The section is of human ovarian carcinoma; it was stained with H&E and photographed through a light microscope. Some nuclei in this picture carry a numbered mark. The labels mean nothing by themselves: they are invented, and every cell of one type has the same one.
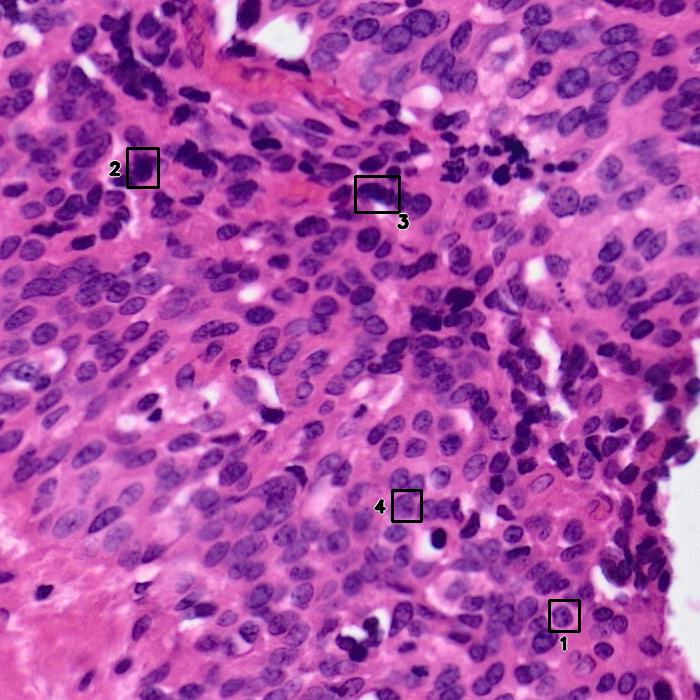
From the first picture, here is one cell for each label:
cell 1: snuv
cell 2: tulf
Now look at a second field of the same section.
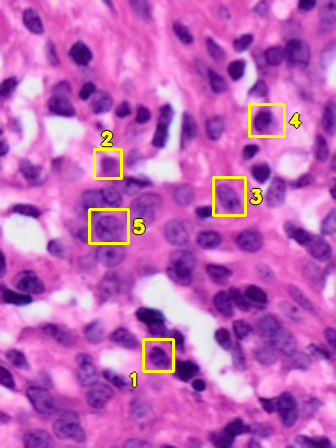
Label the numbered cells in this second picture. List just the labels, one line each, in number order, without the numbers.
tulf
tulf
snuv
snuv
tulf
